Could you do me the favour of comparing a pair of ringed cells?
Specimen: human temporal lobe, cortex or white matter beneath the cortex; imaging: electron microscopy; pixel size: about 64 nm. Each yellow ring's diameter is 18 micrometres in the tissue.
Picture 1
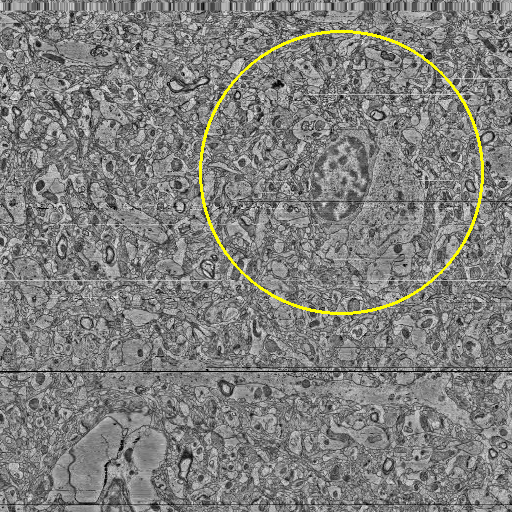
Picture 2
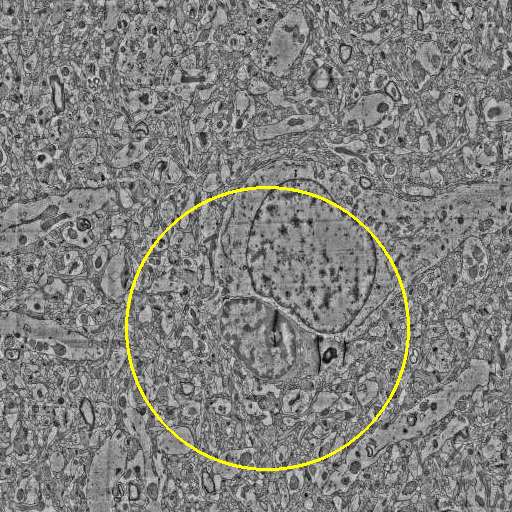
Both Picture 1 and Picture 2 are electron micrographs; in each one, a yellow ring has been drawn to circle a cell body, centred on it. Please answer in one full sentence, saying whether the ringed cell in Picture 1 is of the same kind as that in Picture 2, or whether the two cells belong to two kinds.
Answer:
The ringed cell in Picture 1 is of the same kind as that in Picture 2.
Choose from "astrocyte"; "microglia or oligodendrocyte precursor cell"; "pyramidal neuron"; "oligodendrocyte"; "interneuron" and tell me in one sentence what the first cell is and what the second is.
Both cells are the same kind, each one being an oligodendrocyte.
